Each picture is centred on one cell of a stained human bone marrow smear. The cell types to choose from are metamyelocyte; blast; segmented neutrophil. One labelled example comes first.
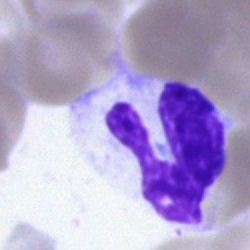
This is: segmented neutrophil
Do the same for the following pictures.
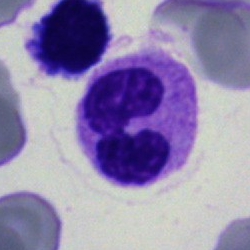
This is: segmented neutrophil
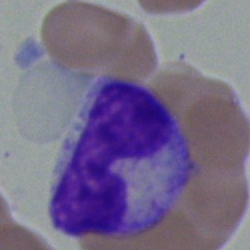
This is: metamyelocyte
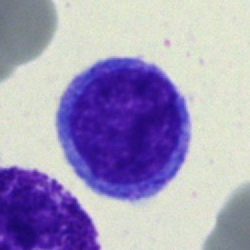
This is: blast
